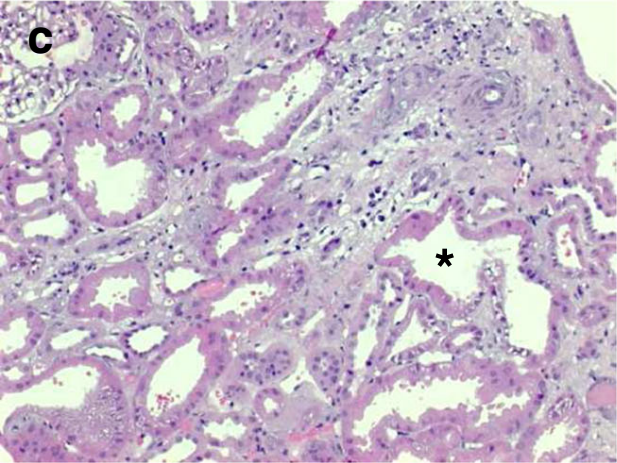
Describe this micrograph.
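This is kidney cortex with many tubules of uneven size and a glomerulus at the upper left corner. Between the tubules the interstitium is widened and fibrous, with a thick-walled small artery near the top and clusters of small dark round nuclei of inflammatory cells. Some tubular lumens hold pink casts or red blood cells.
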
